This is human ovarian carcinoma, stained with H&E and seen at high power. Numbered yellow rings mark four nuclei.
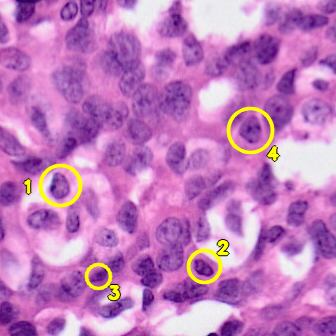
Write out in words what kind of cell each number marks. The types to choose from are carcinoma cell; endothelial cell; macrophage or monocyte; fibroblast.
Cell 1 is a macrophage or monocyte, cell 2 is a macrophage or monocyte, cell 3 is a carcinoma cell and cell 4 is a macrophage or monocyte.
